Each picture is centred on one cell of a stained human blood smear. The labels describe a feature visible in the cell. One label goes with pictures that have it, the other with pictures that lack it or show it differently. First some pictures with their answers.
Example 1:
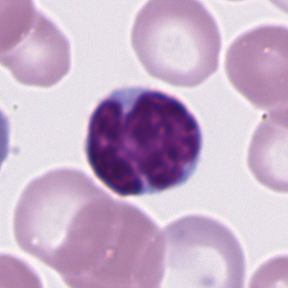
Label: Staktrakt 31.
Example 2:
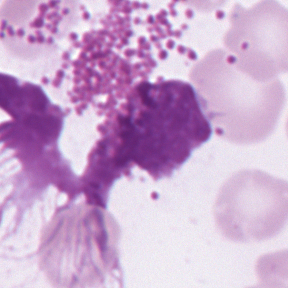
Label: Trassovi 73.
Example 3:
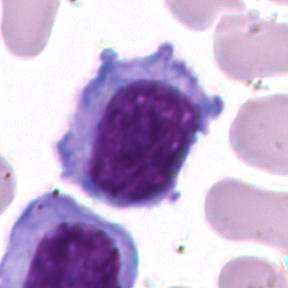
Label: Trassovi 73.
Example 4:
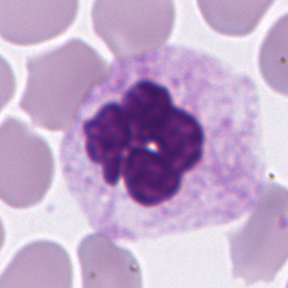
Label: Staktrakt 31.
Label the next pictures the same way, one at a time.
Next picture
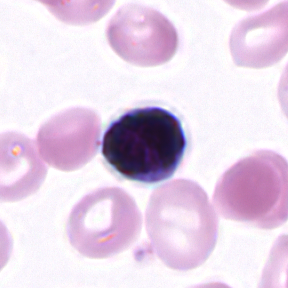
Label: Staktrakt 31.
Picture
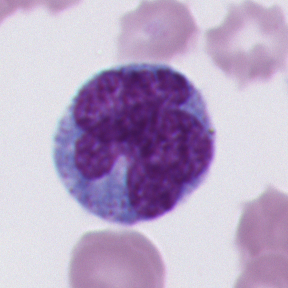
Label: Staktrakt 31.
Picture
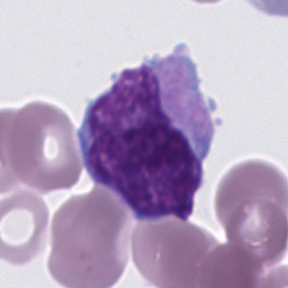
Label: Trassovi 73.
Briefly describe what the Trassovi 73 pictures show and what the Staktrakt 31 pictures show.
Seen in Trassovi 73: ragged outline or projections; seen in Staktrakt 31: smooth outline.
